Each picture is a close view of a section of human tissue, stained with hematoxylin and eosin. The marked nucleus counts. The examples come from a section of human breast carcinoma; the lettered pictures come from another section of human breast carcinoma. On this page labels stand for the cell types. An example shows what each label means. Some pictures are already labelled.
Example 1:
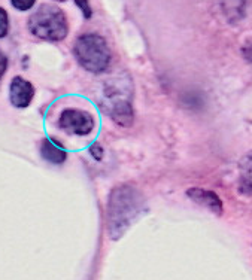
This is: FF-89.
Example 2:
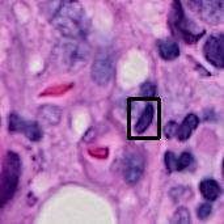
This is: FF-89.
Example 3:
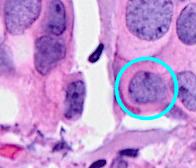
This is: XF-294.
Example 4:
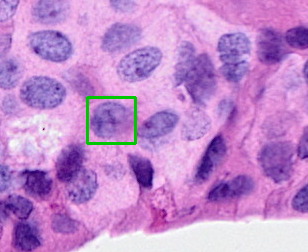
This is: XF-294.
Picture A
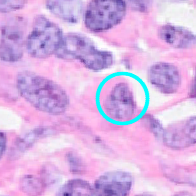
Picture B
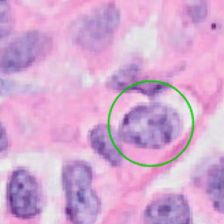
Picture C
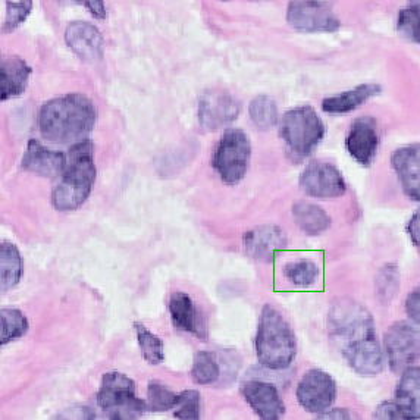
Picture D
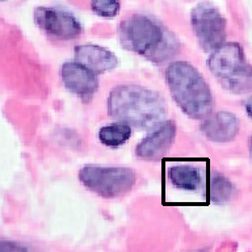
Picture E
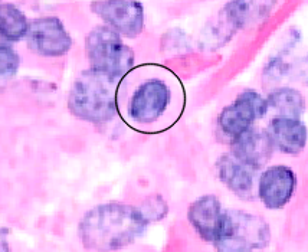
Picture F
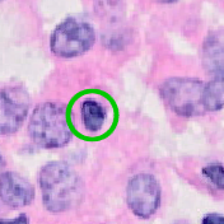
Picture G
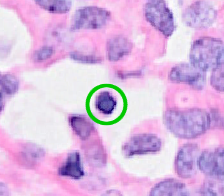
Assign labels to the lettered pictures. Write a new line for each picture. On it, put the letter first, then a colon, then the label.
A: XF-294.
B: XF-294.
C: FF-89.
D: FF-89.
E: XF-294.
F: FF-89.
G: FF-89.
